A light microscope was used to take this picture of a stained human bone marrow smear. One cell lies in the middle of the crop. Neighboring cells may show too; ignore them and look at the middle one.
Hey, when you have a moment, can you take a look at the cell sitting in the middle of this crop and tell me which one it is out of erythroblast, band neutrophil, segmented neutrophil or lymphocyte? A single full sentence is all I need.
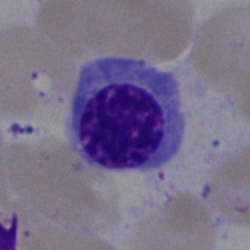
The cell at the middle of the crop is recognized as an erythroblast.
